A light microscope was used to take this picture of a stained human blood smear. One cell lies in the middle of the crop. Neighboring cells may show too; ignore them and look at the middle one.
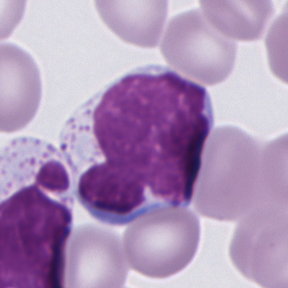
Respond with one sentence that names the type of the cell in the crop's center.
The central element of this crop is a cell, namely a large granular lymphocyte.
